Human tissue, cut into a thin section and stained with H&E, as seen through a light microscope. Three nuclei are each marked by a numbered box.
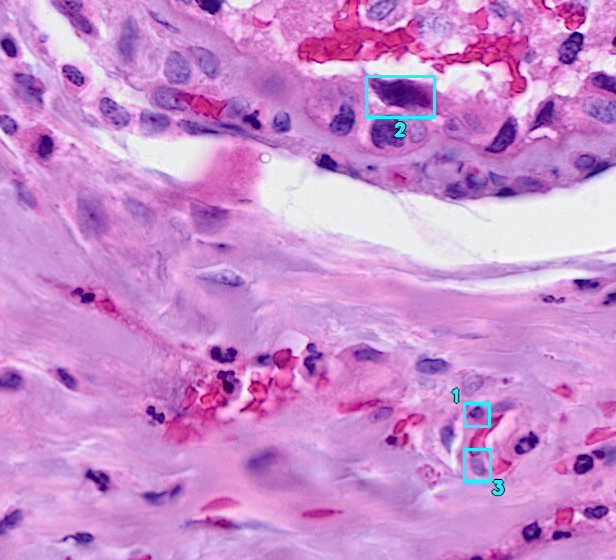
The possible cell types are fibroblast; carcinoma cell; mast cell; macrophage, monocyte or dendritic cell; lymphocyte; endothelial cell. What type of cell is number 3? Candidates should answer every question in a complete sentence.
Cell 3 in the field is an endothelial cell.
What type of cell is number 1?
The cell that goes by number 1 is an endothelial cell.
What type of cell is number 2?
The marked nucleus 2 is that of a carcinoma cell.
